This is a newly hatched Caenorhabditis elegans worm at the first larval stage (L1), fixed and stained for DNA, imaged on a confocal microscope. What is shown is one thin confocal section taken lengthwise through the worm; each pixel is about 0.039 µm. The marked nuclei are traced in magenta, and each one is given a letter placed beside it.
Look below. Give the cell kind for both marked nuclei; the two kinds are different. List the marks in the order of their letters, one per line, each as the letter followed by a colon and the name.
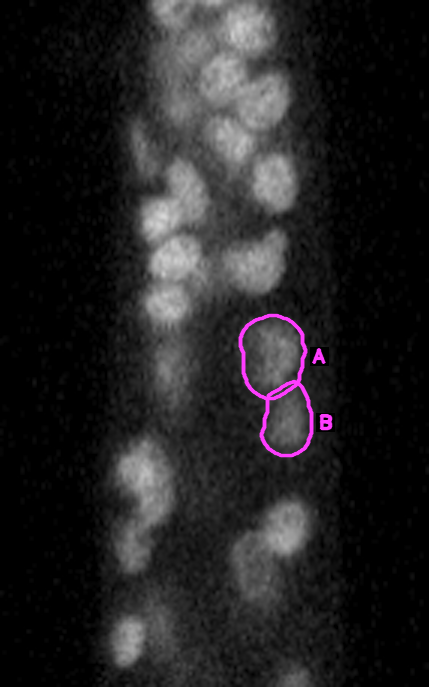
A: intestinal cell
B: body wall muscle cell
